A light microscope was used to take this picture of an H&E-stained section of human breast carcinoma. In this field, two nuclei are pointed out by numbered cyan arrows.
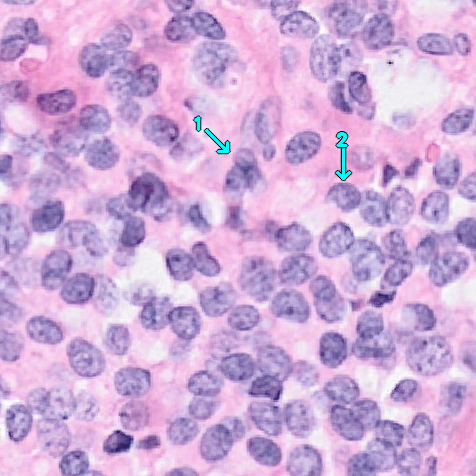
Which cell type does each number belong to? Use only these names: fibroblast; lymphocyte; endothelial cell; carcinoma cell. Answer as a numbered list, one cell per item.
1. endothelial cell
2. carcinoma cell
